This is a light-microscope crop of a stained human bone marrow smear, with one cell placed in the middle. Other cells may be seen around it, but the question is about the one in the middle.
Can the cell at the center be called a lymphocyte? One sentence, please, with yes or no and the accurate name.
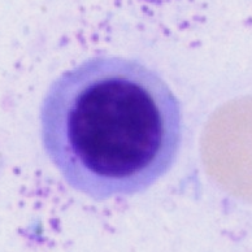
No, the central cell here is an erythroblast; calling it a lymphocyte is not right.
